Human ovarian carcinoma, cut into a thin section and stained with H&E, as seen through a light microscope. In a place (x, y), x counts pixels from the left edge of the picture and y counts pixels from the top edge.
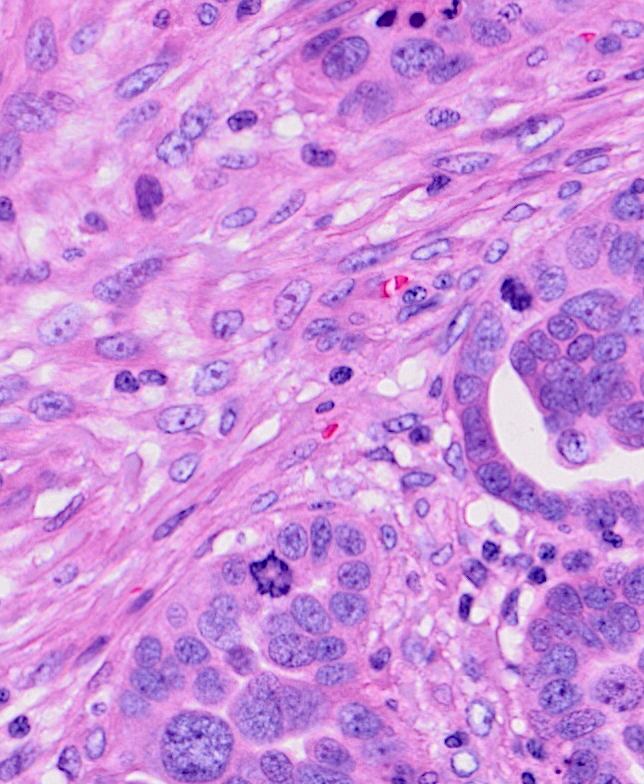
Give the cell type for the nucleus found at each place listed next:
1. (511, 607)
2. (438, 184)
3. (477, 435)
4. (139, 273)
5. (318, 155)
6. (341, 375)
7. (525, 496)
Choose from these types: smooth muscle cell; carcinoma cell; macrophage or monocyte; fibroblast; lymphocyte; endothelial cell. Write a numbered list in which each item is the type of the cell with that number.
1. macrophage or monocyte
2. macrophage or monocyte
3. carcinoma cell
4. fibroblast
5. macrophage or monocyte
6. lymphocyte
7. carcinoma cell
